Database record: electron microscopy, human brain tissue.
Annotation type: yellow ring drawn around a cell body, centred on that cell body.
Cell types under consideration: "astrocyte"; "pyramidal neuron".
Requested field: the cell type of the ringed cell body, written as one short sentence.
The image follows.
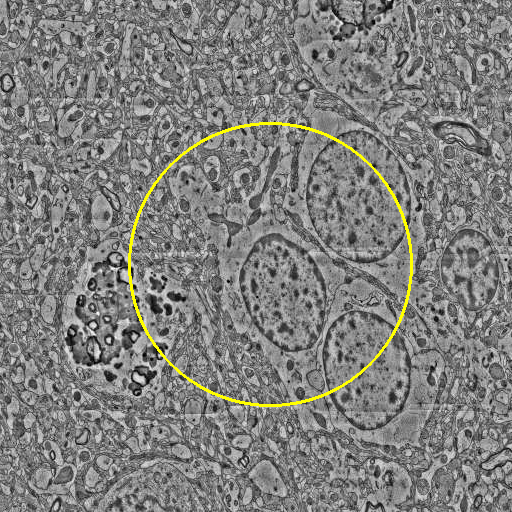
The ringed cell body represents an astrocyte.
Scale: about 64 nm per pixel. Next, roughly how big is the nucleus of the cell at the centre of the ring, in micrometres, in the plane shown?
The nucleus measures about 8 by 5 micrometres in this plane.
